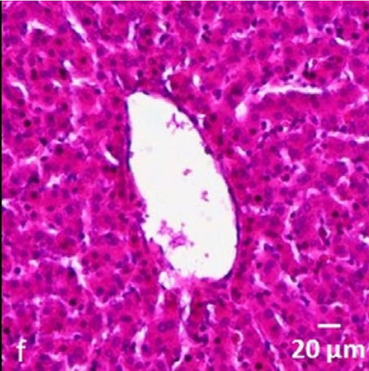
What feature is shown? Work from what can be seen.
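Centrilobular vein. A large empty oval lumen lies in the centre of the field.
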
